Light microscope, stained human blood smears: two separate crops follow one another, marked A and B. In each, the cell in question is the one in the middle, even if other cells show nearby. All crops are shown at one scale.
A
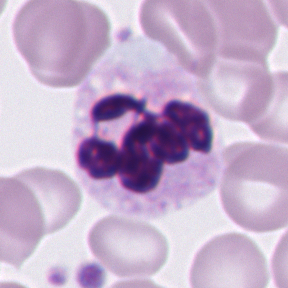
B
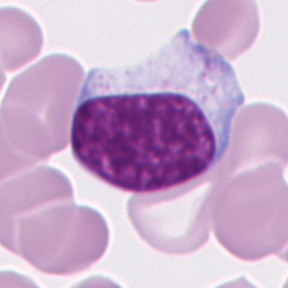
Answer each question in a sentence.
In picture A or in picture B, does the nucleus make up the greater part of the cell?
Of the two, the nucleus in picture B makes up the greater part of its cell.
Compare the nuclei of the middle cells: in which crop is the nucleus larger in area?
Larger is the nucleus in picture B, at roughly 1.5 times the area of the other.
